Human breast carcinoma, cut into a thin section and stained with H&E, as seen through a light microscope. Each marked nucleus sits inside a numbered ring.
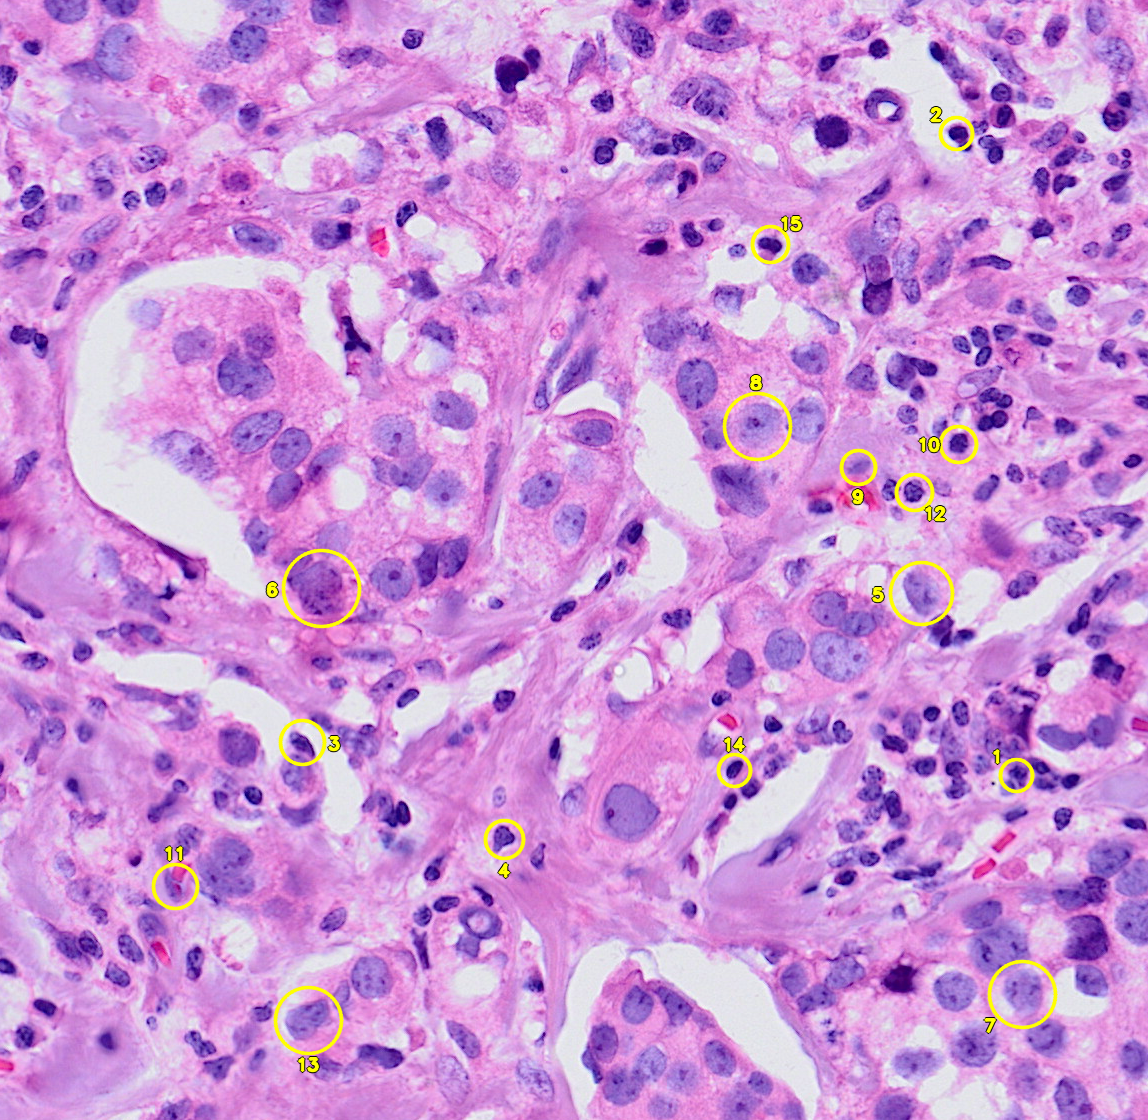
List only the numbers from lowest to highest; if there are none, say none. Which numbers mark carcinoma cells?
5, 6, 7, 8, 13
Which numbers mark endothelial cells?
9, 11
